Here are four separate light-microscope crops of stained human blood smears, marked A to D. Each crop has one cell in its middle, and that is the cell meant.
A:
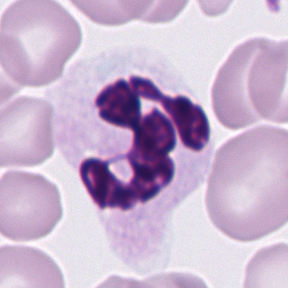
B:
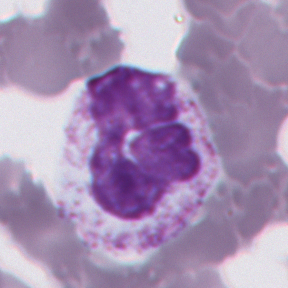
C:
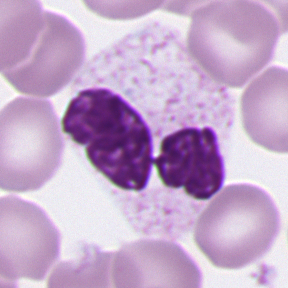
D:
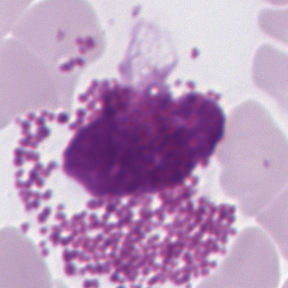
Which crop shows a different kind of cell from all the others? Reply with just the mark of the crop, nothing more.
D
